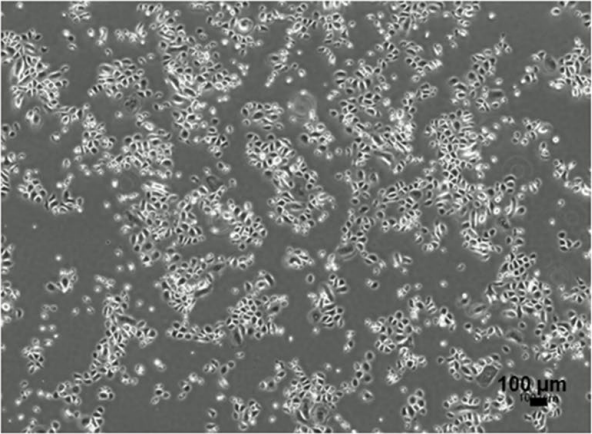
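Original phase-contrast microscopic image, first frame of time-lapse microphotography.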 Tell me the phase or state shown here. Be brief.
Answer: Approximately 50% confluence.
